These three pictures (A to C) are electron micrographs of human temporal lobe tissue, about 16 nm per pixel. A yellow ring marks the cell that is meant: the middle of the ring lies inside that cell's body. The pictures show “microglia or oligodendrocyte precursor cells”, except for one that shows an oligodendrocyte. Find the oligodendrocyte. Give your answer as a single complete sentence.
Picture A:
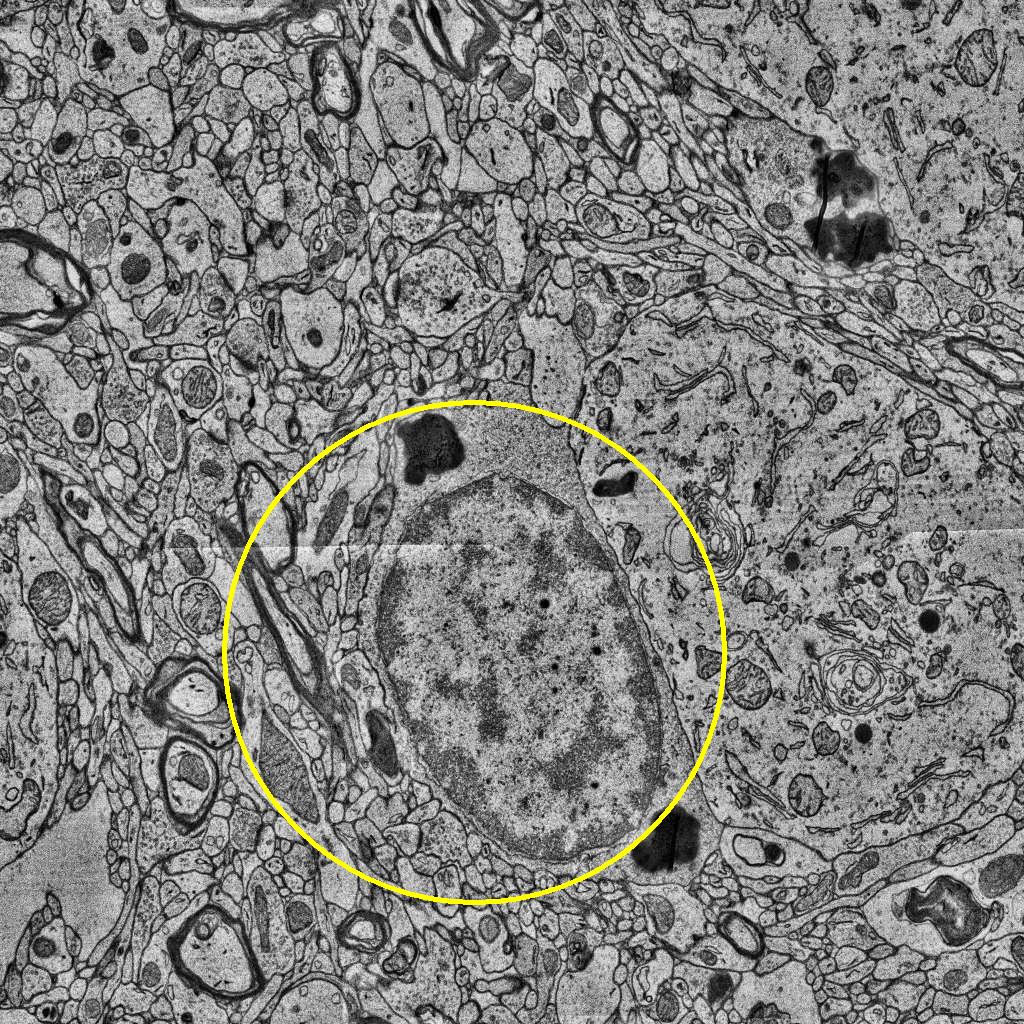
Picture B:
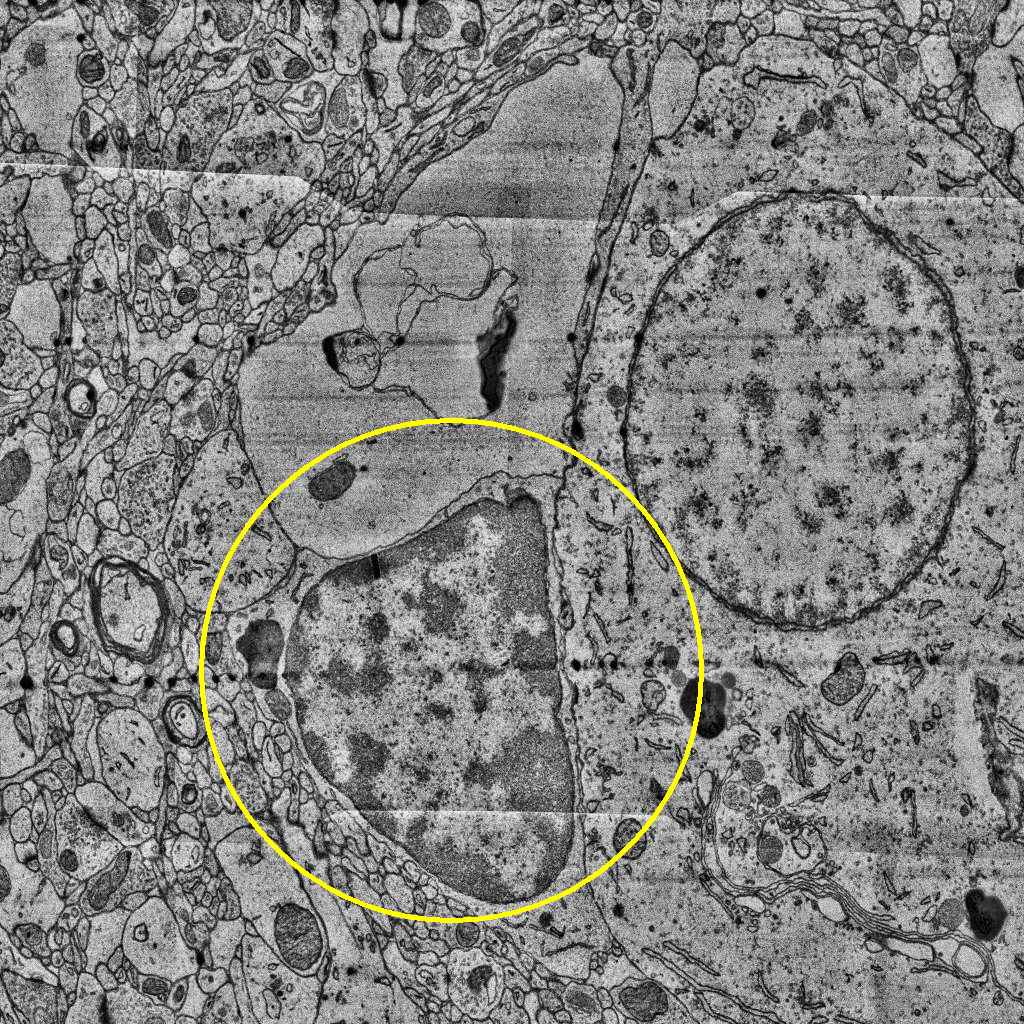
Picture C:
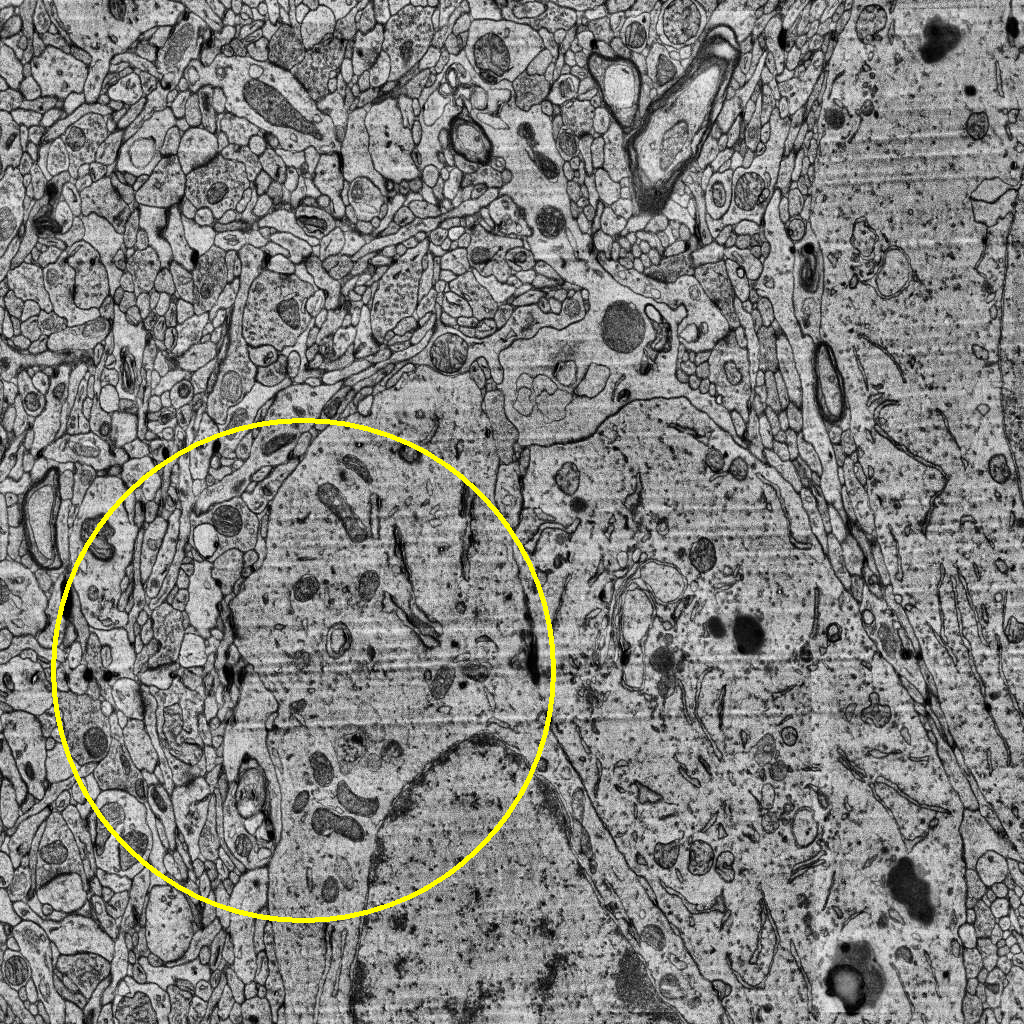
The oligodendrocyte is the one in picture A.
